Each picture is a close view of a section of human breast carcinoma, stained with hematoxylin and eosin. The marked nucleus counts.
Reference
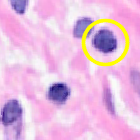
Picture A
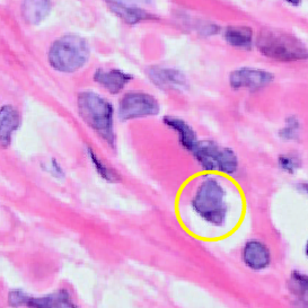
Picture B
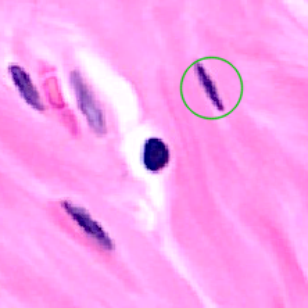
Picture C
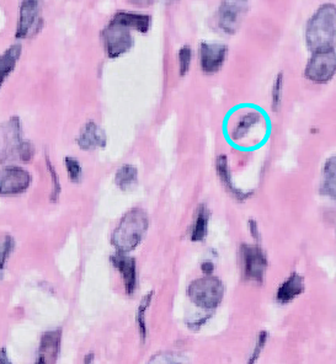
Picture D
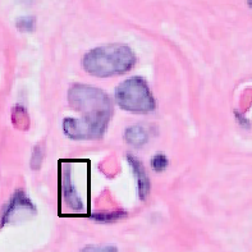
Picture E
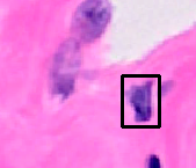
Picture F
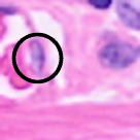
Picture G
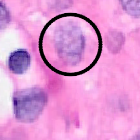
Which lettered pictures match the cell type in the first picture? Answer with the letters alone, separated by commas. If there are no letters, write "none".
E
